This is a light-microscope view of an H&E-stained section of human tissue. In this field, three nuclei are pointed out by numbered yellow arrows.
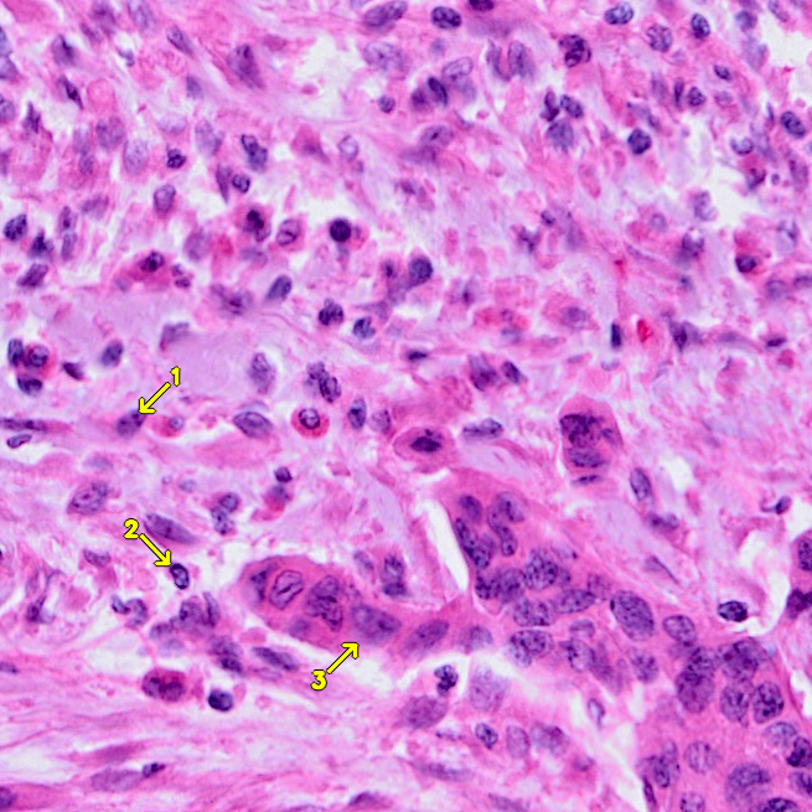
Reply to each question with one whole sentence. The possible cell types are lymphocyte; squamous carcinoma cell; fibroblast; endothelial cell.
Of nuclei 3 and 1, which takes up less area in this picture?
Number 1 is smaller, since number 3 takes up about 2 times as much area.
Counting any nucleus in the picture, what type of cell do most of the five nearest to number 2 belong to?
The majority of the five nuclei closest to number 2 belong to endothelial cells.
